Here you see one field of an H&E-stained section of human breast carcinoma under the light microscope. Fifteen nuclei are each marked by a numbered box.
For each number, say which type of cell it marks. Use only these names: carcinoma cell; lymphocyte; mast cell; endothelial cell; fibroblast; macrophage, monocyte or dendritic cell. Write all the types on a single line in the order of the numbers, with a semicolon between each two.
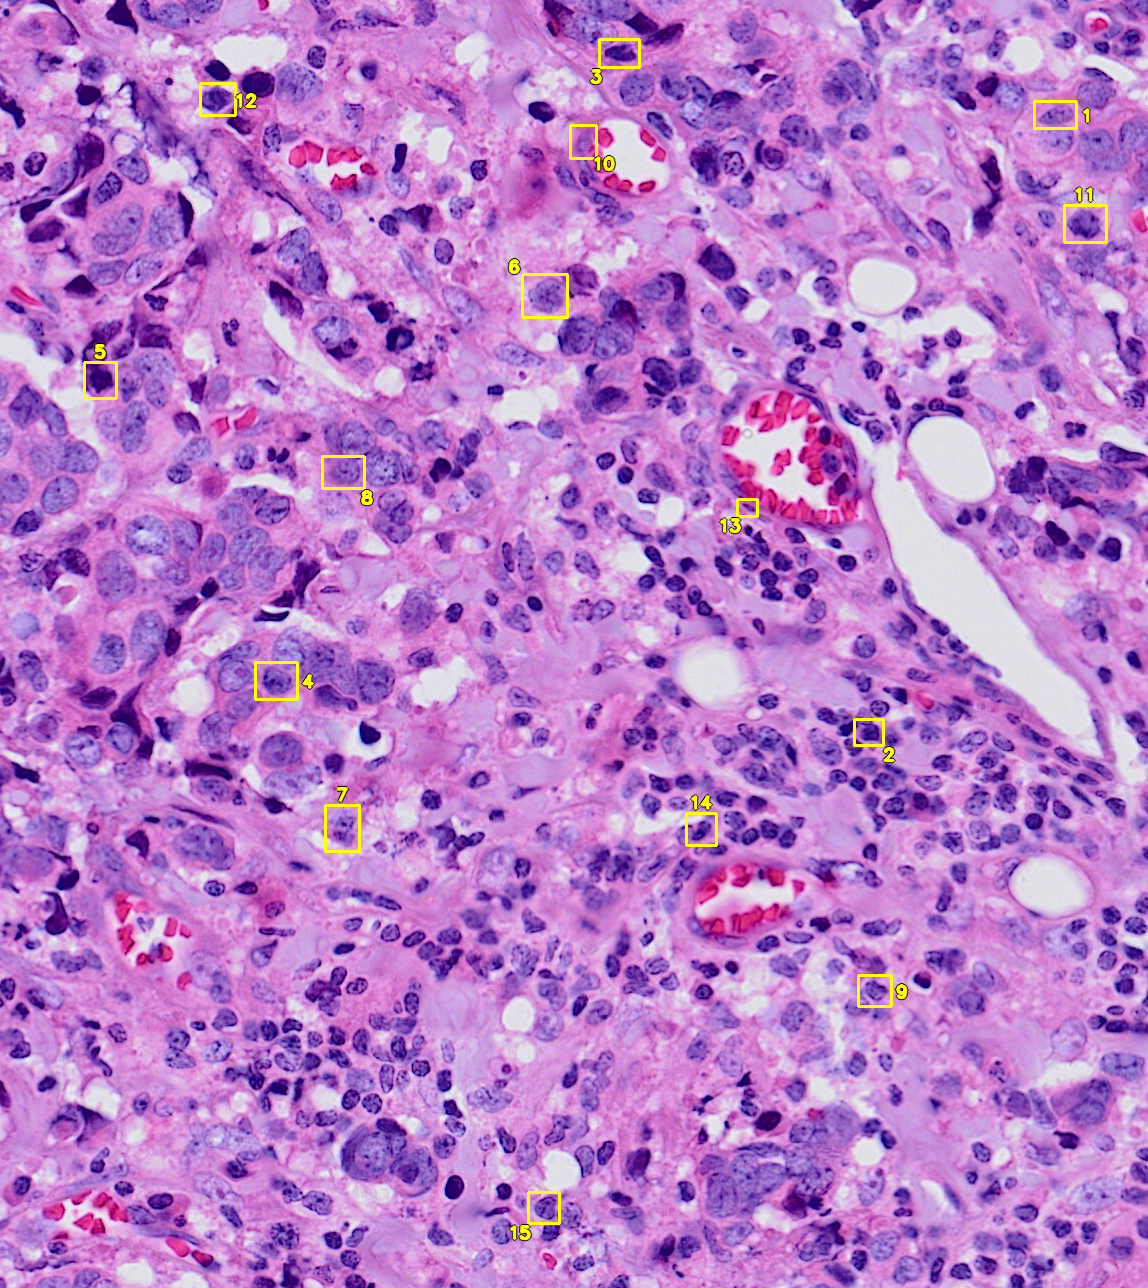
carcinoma cell; lymphocyte; carcinoma cell; carcinoma cell; carcinoma cell; carcinoma cell; macrophage, monocyte or dendritic cell; carcinoma cell; lymphocyte; endothelial cell; carcinoma cell; carcinoma cell; endothelial cell; lymphocyte; lymphocyte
